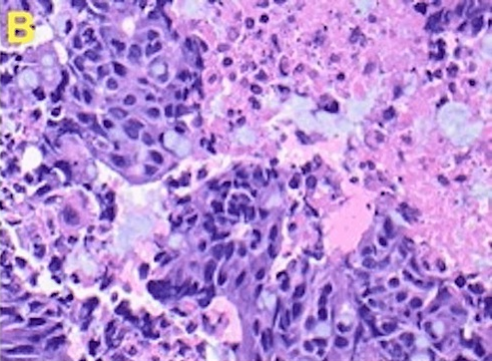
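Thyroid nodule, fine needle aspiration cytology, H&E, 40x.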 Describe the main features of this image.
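Cohesive clusters of carcinoma cells with enlarged, oval to elongated, hyperchromatic and pleomorphic nuclei and moderate pink-purple cytoplasm are seen. Pale bluish-grey round mucin-like droplets and vacuoles lie scattered between the cell clusters, together with pink granular material and a dense pink homogeneous deposit.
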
